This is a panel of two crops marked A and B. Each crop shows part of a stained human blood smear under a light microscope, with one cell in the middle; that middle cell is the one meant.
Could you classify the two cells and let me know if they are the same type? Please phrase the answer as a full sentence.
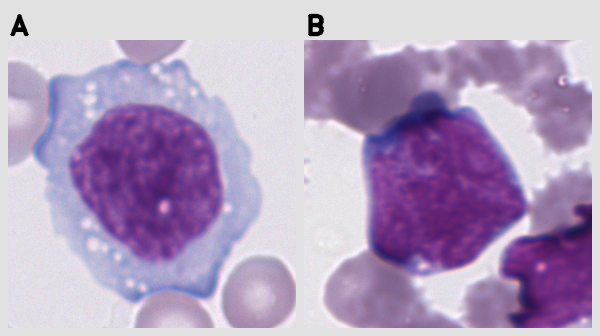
Yes, the first and the second crop both show myeloblasts.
